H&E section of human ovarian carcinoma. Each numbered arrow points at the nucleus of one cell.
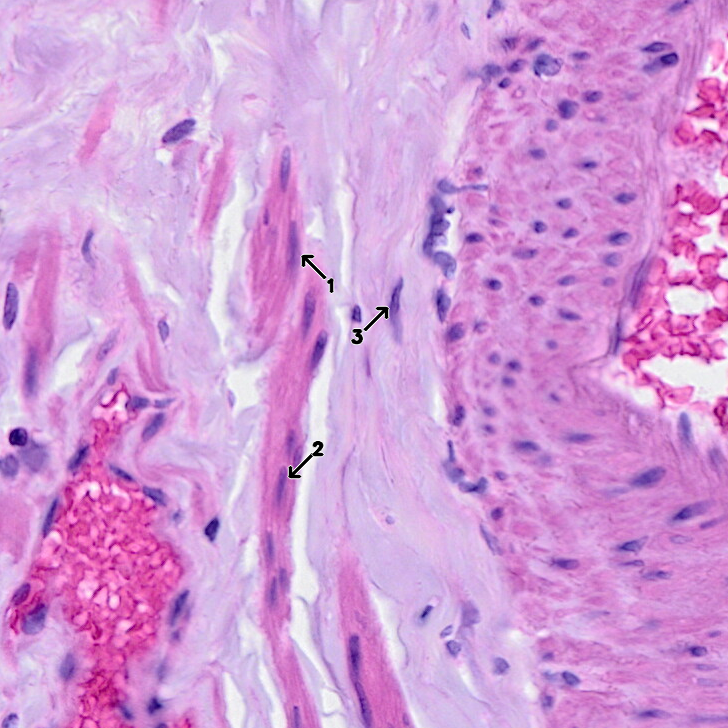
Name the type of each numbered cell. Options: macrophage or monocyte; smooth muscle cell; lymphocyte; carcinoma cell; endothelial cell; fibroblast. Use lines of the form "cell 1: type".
cell 1: smooth muscle cell
cell 2: smooth muscle cell
cell 3: fibroblast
